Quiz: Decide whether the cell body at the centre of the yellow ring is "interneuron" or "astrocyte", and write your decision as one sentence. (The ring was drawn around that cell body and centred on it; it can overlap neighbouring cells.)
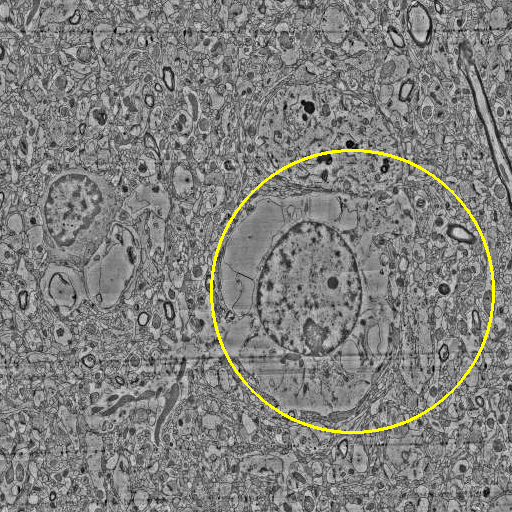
The cell the ring is centred on is an astrocyte.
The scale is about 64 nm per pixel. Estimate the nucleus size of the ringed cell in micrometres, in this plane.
In this plane, about 9 micrometres in length and 7 in width.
